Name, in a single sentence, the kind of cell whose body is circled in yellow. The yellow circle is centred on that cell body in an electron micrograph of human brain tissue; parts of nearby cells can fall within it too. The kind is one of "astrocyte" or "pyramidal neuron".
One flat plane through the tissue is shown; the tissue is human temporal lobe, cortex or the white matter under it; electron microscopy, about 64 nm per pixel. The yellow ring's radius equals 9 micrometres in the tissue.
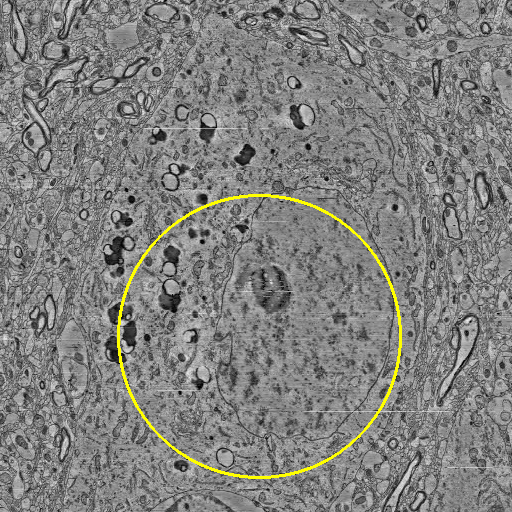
The circled cell body belongs to a pyramidal neuron.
